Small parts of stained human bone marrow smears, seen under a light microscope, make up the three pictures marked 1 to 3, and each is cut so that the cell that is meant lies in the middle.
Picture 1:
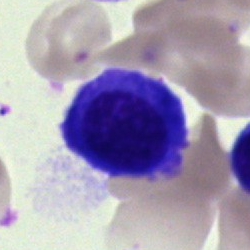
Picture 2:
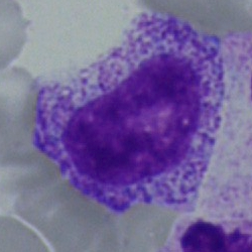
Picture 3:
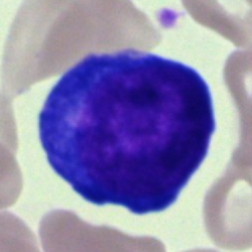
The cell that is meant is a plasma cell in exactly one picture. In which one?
1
